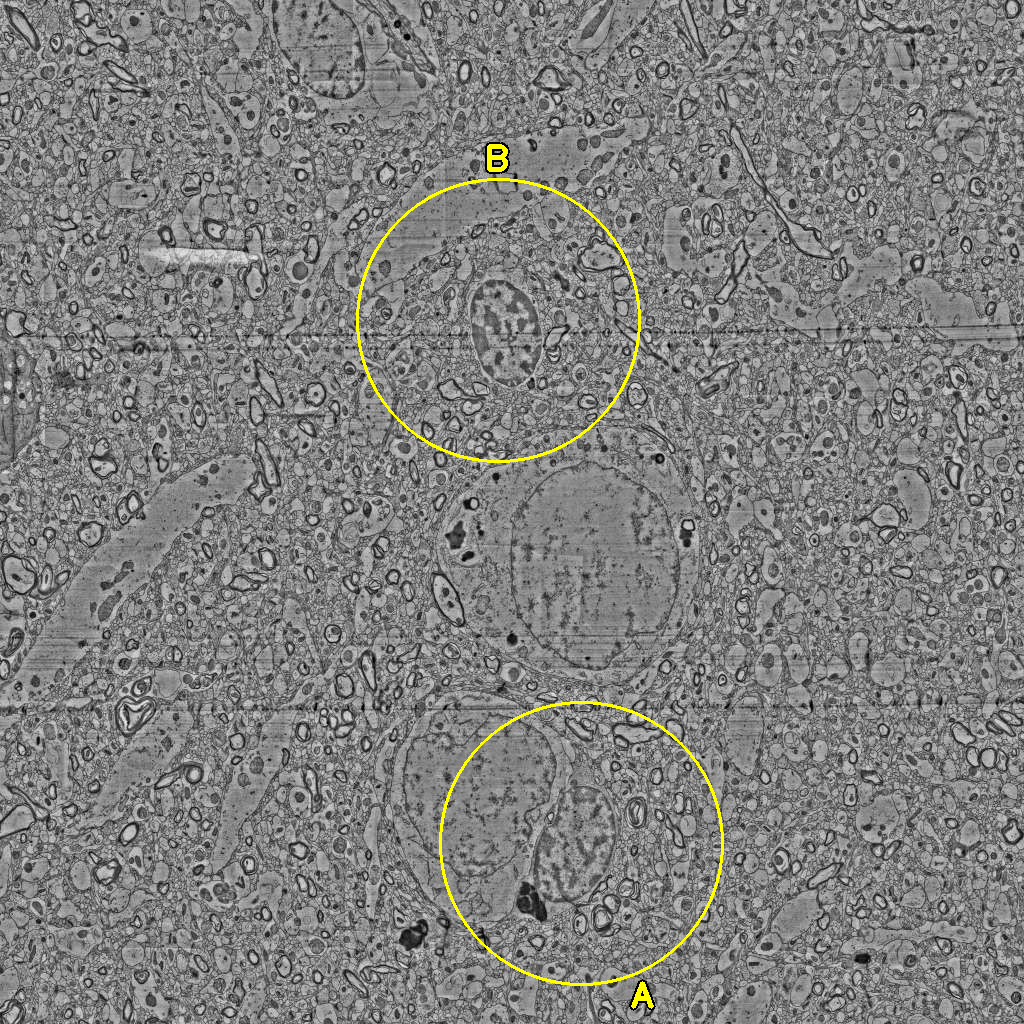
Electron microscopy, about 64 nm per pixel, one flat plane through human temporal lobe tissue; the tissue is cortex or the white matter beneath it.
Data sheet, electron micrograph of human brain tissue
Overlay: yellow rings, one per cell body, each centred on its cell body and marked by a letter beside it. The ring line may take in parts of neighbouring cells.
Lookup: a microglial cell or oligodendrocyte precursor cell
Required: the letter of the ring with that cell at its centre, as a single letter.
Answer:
B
